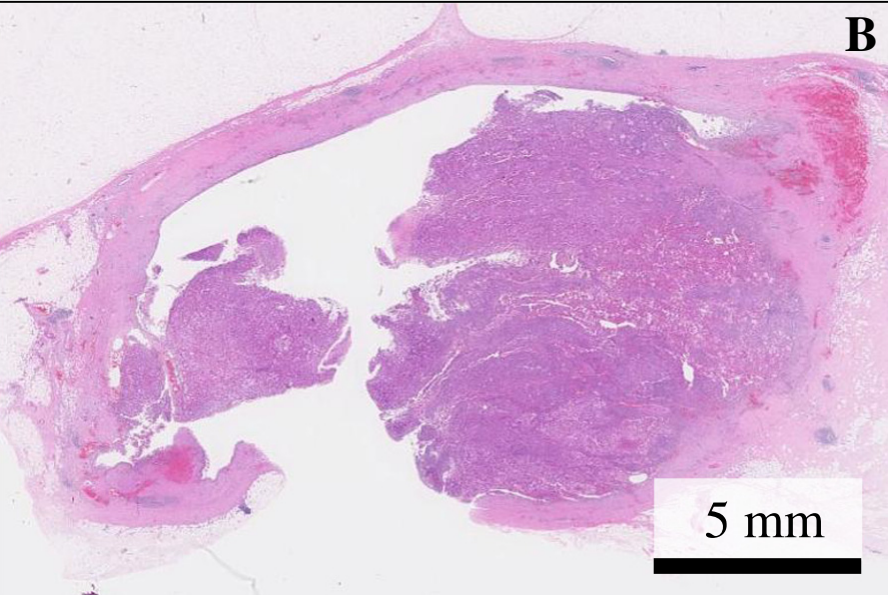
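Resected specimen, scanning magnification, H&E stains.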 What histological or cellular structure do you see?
cystic cavity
